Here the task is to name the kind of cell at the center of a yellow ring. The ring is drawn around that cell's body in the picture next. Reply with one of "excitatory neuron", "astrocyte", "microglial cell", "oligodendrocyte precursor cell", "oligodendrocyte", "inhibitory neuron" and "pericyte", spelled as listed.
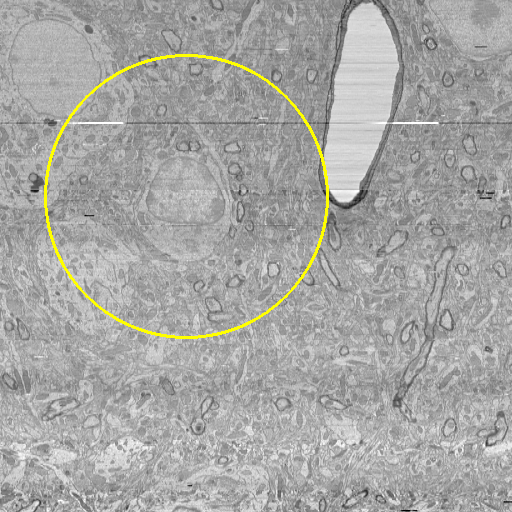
oligodendrocyte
